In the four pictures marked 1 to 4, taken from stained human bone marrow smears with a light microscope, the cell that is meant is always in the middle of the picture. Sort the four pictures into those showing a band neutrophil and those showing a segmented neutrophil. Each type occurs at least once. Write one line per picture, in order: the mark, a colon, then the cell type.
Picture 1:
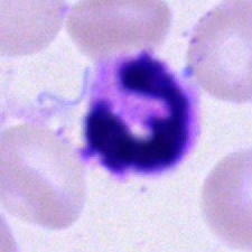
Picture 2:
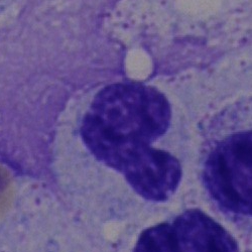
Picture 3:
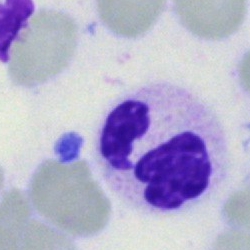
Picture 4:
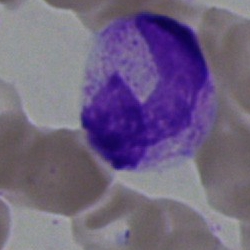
1: segmented neutrophil
2: band neutrophil
3: segmented neutrophil
4: band neutrophil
